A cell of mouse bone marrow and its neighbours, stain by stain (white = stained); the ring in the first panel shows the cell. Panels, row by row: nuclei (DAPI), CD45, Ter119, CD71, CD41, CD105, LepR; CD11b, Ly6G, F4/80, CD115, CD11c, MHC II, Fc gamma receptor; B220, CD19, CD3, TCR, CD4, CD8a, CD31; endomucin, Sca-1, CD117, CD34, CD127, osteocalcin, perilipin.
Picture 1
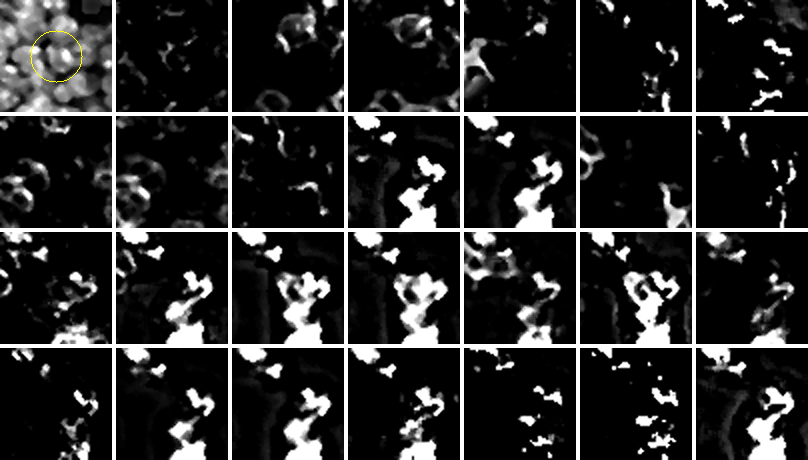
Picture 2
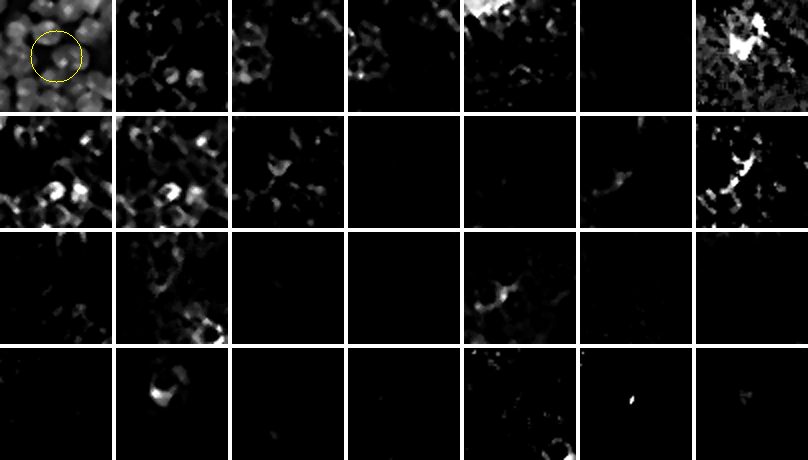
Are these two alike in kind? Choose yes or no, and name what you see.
No. First a CD8 T cell, second a LepR-positive perivascular cell.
